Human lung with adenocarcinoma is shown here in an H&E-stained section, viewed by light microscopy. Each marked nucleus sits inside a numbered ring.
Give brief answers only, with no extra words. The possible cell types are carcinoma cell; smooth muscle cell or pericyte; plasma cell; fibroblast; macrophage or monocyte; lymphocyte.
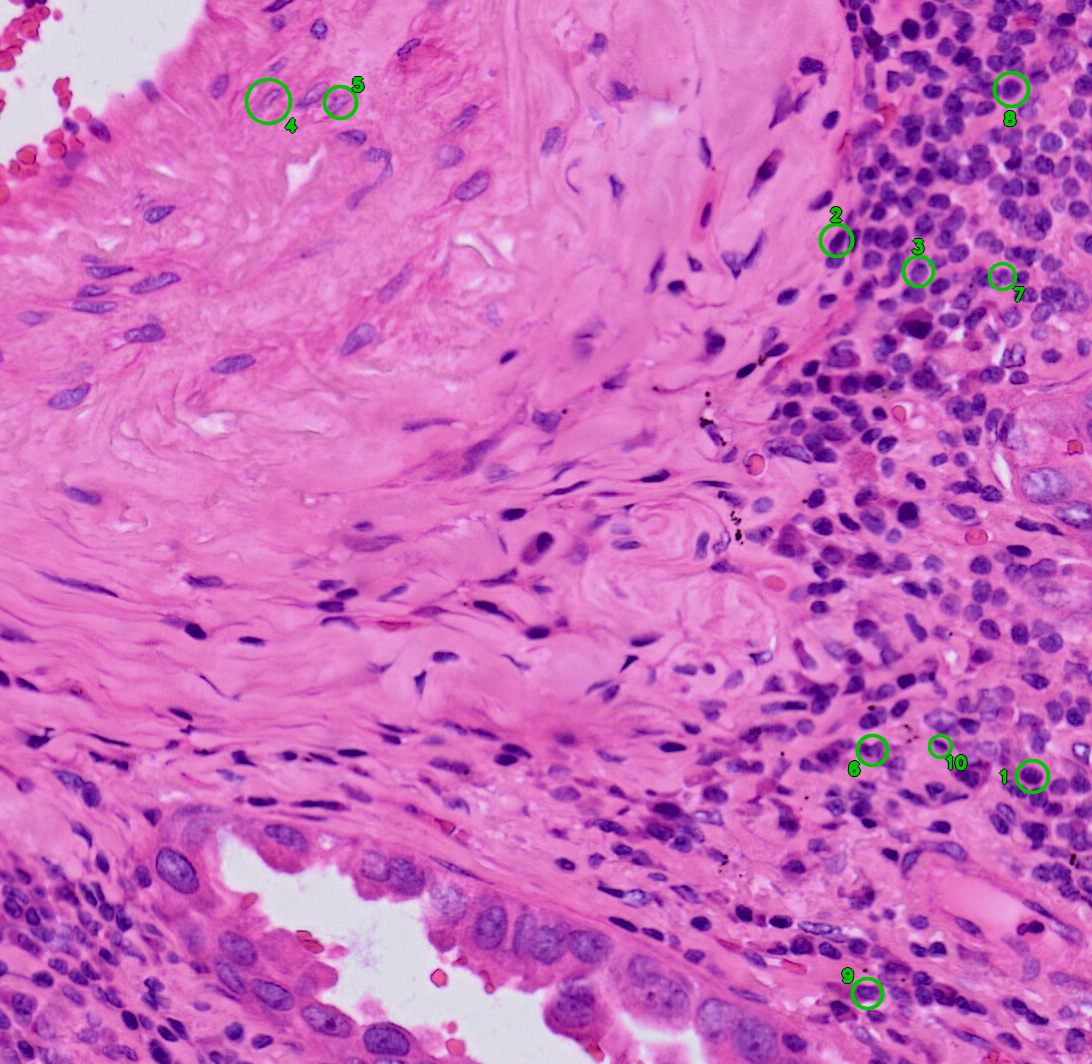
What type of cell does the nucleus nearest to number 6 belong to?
plasma cell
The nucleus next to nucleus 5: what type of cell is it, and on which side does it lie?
a smooth muscle cell or pericyte to the left of nucleus 5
